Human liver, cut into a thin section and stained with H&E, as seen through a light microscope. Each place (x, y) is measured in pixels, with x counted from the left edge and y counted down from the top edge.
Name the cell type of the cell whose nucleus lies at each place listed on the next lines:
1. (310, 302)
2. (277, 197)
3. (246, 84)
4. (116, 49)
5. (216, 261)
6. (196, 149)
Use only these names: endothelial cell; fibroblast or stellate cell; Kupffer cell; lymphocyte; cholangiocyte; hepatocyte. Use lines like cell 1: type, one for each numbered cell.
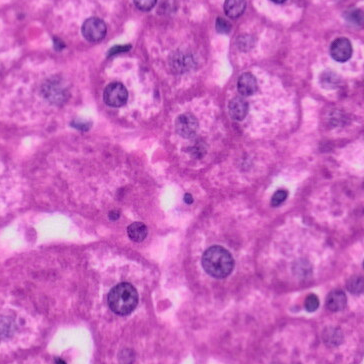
cell 1: lymphocyte
cell 2: lymphocyte
cell 3: hepatocyte
cell 4: endothelial cell
cell 5: hepatocyte
cell 6: hepatocyte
